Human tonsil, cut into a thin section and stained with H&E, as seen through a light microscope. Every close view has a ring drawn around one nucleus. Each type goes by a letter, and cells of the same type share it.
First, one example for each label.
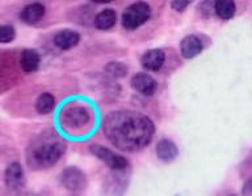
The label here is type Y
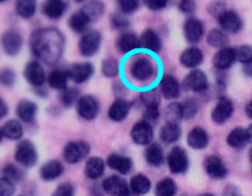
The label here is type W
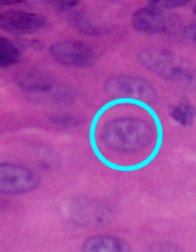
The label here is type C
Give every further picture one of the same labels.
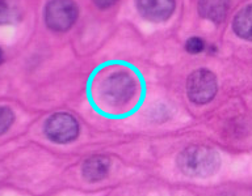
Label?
type C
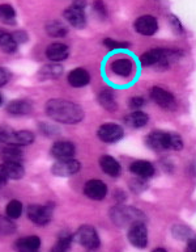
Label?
type Y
